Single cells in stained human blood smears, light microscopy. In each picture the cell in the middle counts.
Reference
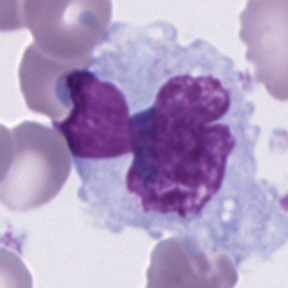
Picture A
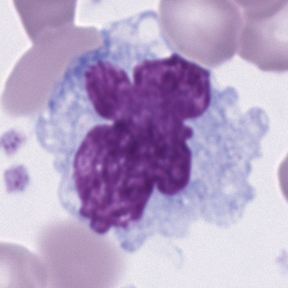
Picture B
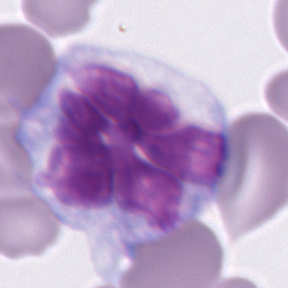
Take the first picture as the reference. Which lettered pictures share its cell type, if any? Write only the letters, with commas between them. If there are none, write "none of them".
A, B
